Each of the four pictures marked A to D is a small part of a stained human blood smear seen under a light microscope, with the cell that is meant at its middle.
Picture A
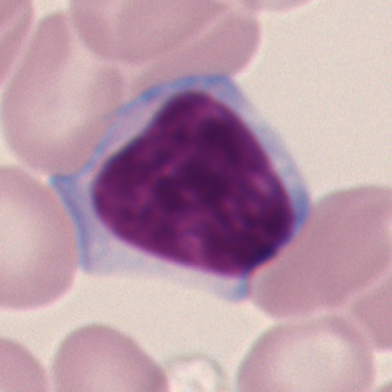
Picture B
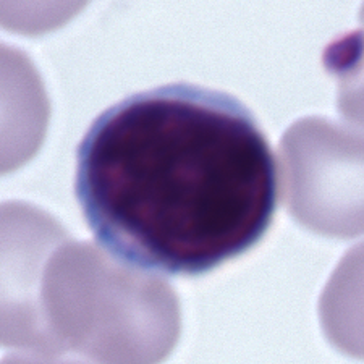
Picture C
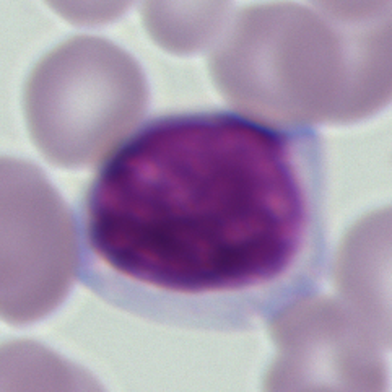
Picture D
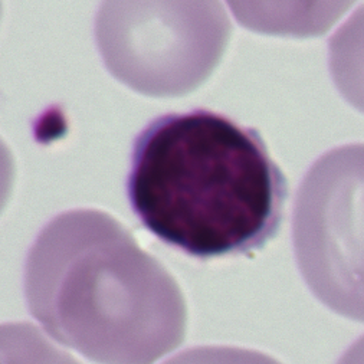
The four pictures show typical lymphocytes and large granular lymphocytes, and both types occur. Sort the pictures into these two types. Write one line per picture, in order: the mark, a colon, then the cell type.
A: typical lymphocyte
B: typical lymphocyte
C: large granular lymphocyte
D: large granular lymphocyte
